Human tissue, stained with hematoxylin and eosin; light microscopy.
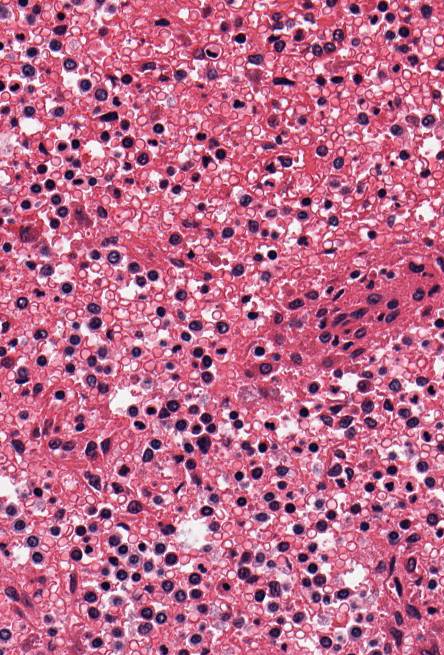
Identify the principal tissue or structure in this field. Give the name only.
red pulp of the spleen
